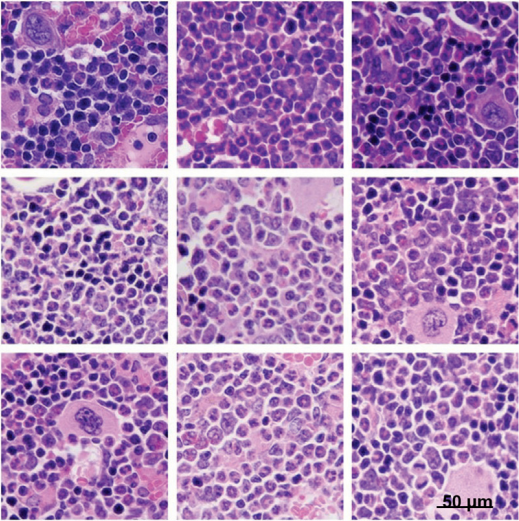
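This grid of nine fields shows bone marrow, densely cellular, with blood-forming cells packed closely together. Most cells are small to medium and round, with dark purple nuclei, some round and some indented or ring-like, and scant pale pink to lilac cytoplasm. Scattered among them are occasional very large cells with abundant pink cytoplasm and large lobulated nuclei. Small pink areas of red cells lie between the packed cells in some fields.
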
